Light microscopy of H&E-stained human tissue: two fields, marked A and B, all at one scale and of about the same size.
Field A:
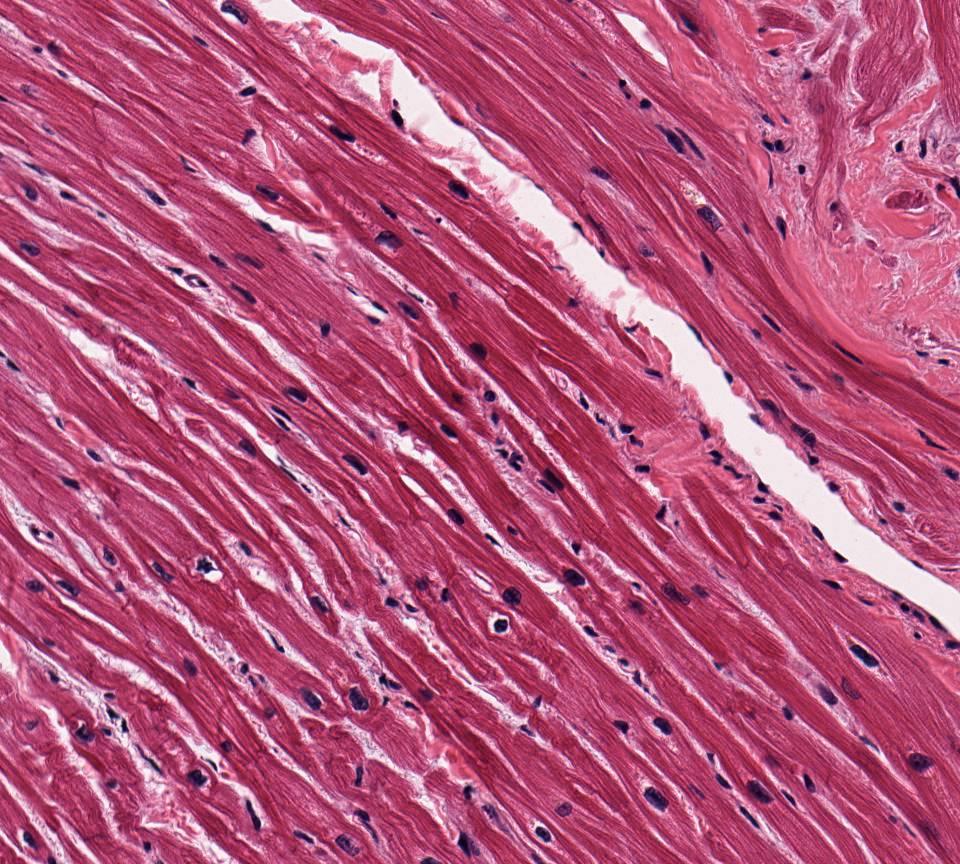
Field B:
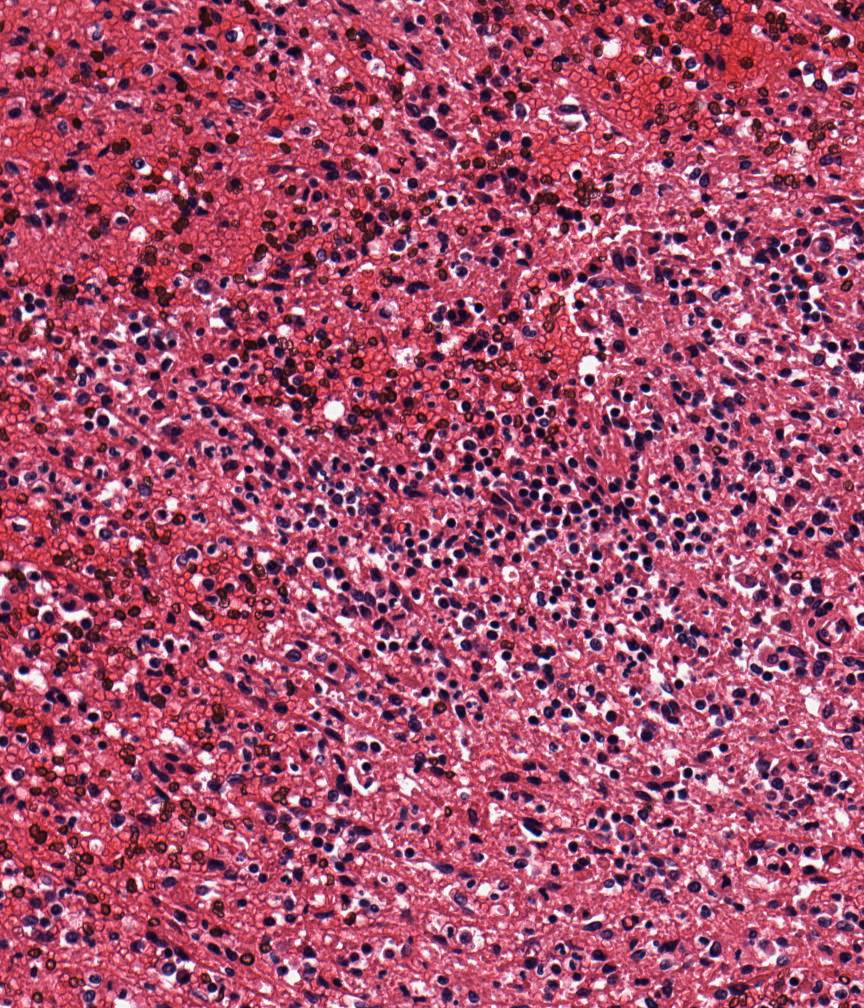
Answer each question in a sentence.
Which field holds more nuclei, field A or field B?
It is field B that has more nuclei in it.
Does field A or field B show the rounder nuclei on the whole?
On the whole the nuclei of field B are rounder than those of field A.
